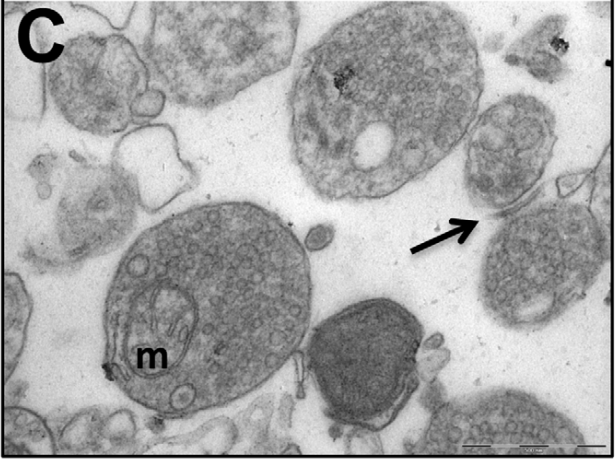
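Several rounded synaptosomes are crowded with small round synaptic vesicles set in a grey, electron-dense matrix. One synaptosome contains a mitochondrion with visible cristae near its edge. Where two small profiles abut, the membrane contact shows only a thin, poorly developed dense band. One profile is almost uniformly dark.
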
